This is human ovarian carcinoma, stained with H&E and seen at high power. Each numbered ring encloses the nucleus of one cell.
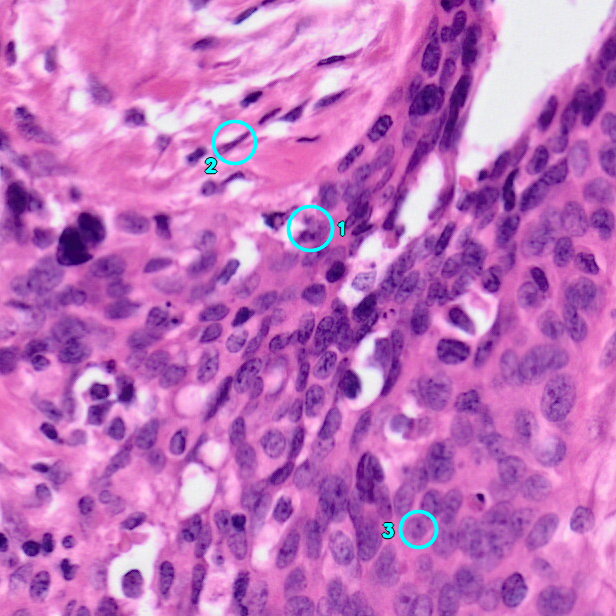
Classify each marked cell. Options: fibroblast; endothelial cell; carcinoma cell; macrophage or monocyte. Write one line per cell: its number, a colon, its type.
1: carcinoma cell
2: fibroblast
3: carcinoma cell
